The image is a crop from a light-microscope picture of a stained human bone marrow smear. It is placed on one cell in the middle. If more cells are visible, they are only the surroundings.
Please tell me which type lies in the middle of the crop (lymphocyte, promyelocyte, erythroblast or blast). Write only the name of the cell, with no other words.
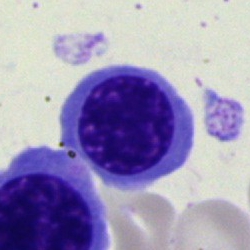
erythroblast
